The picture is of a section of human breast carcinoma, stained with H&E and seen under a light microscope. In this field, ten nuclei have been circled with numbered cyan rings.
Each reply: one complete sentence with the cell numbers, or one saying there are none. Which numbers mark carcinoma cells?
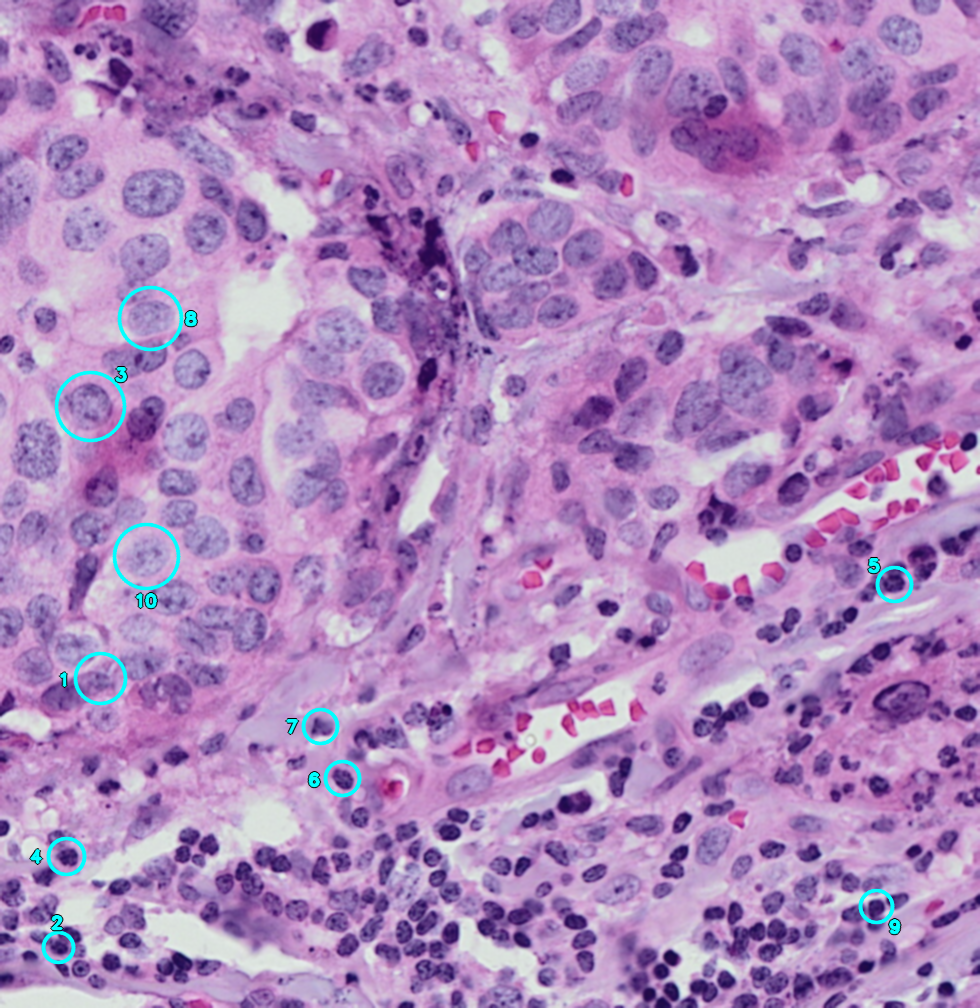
Each of the cells numbered 1, 3, 8 and 10 is among the carcinoma cells.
